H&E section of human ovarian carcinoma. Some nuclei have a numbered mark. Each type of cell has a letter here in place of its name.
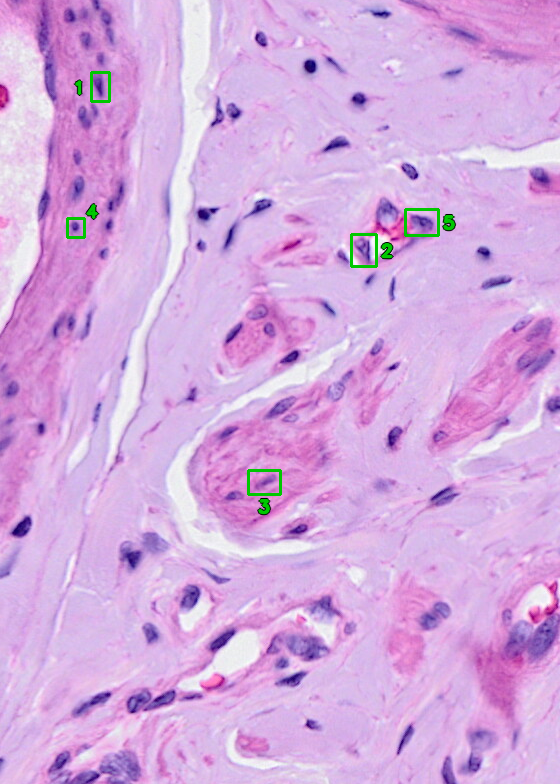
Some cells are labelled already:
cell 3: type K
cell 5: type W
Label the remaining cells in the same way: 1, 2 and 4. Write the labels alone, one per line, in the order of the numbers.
type K
type W
type K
